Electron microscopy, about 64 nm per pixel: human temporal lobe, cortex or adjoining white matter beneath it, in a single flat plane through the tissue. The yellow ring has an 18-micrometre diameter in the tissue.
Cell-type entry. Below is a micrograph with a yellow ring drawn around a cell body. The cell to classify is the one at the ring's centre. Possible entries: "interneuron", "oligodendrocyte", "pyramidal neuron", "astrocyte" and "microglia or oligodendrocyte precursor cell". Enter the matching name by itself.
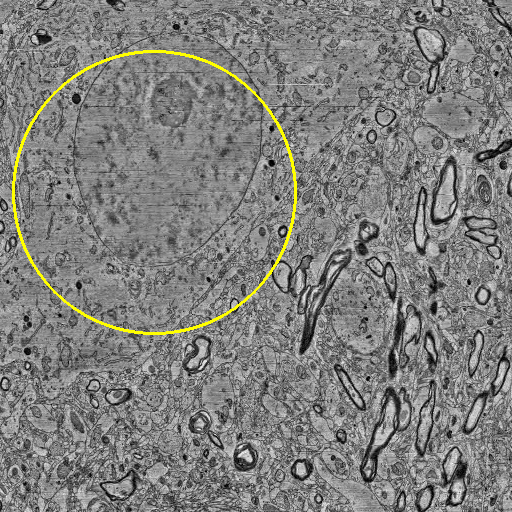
pyramidal neuron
